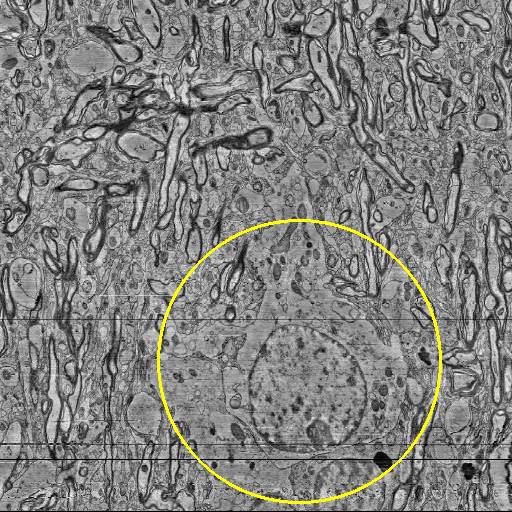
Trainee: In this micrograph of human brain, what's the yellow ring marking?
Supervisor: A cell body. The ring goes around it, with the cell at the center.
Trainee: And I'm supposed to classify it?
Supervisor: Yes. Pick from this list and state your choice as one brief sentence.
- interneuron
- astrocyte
The cell at the ring's center is an astrocyte.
